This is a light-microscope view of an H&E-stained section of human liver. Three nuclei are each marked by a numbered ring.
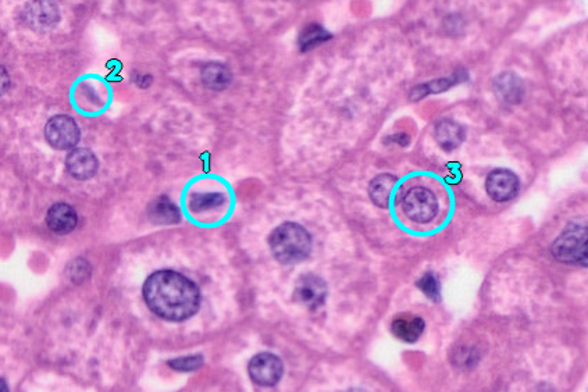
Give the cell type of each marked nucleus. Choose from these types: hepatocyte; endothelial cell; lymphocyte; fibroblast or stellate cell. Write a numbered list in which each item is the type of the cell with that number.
1. lymphocyte
2. endothelial cell
3. hepatocyte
